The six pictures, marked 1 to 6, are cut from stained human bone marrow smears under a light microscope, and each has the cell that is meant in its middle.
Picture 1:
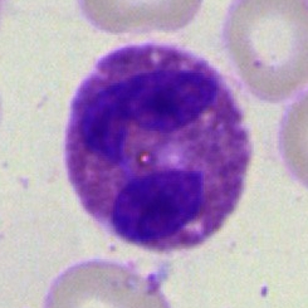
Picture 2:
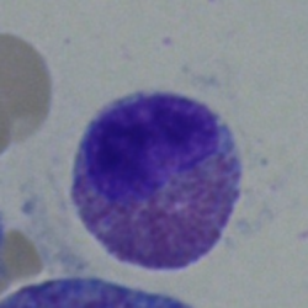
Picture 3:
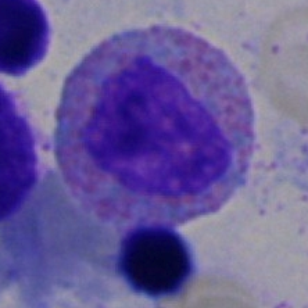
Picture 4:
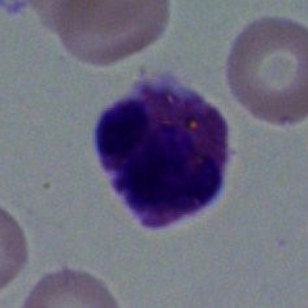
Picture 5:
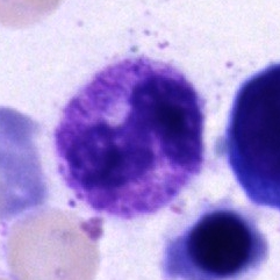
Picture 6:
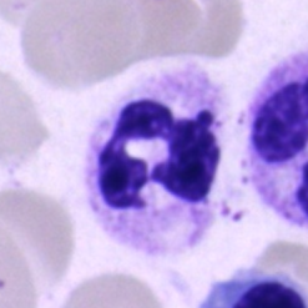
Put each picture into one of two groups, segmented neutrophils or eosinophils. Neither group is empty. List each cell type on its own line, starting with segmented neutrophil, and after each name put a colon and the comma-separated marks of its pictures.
segmented neutrophil: 5, 6
eosinophil: 1, 2, 3, 4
